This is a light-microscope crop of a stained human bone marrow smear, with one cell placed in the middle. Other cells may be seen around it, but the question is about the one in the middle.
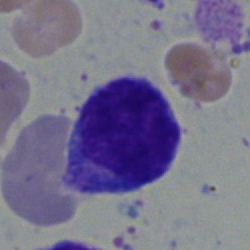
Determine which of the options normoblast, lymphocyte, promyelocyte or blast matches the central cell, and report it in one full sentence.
What sits at the centre of this crop is a lymphocyte.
